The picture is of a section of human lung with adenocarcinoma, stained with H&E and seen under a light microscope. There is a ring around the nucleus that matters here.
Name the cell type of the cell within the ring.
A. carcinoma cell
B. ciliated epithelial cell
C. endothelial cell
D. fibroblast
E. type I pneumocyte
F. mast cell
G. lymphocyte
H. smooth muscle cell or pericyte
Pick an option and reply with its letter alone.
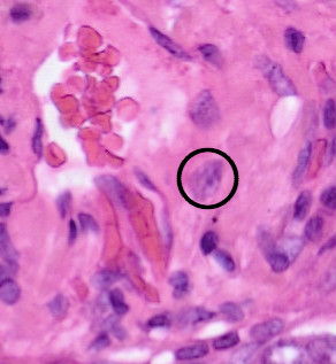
D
